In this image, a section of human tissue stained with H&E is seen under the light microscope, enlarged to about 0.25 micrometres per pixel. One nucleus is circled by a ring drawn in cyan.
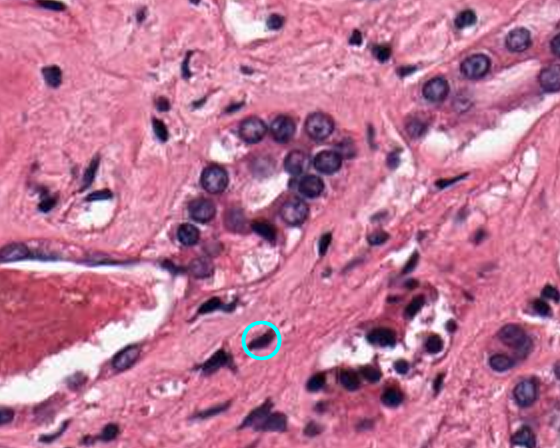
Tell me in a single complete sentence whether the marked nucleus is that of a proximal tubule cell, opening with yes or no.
No, the marked nucleus is located in a supporting cell and not in a proximal tubule cell.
